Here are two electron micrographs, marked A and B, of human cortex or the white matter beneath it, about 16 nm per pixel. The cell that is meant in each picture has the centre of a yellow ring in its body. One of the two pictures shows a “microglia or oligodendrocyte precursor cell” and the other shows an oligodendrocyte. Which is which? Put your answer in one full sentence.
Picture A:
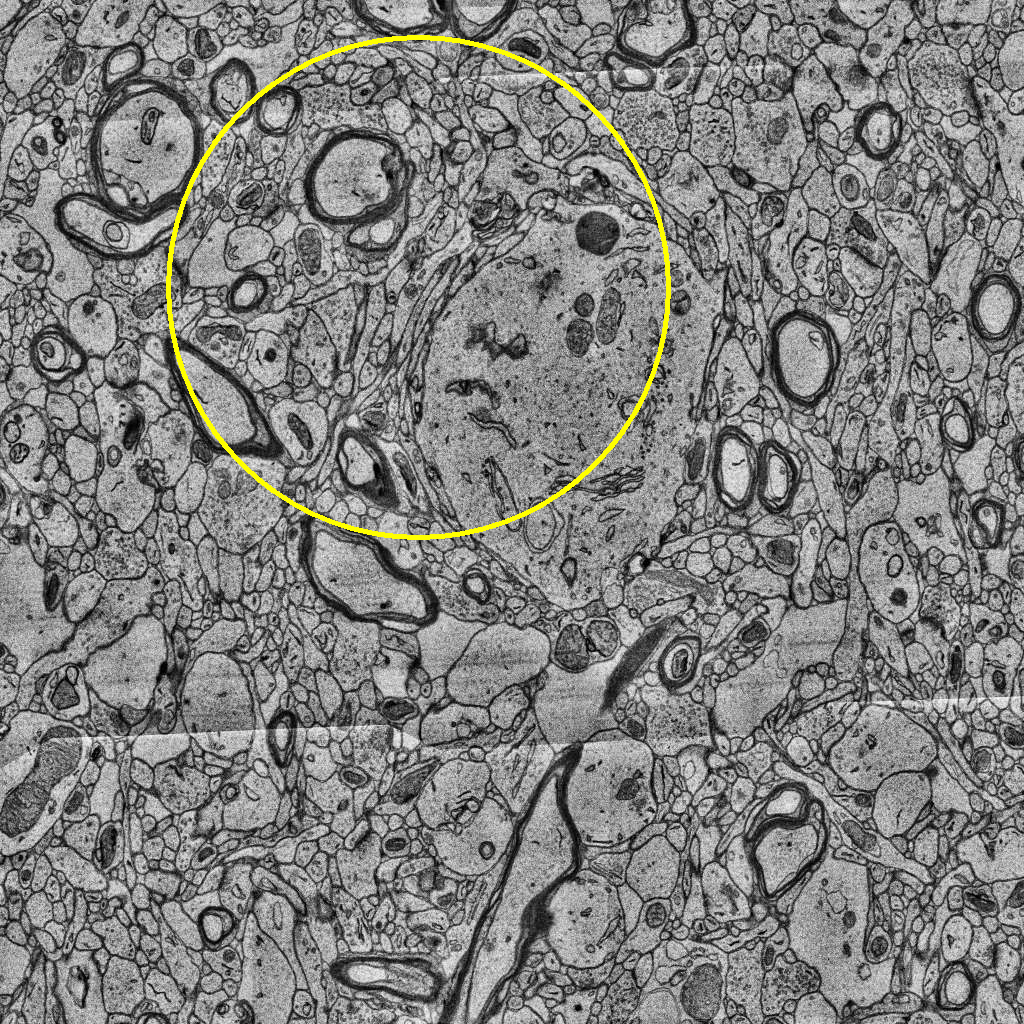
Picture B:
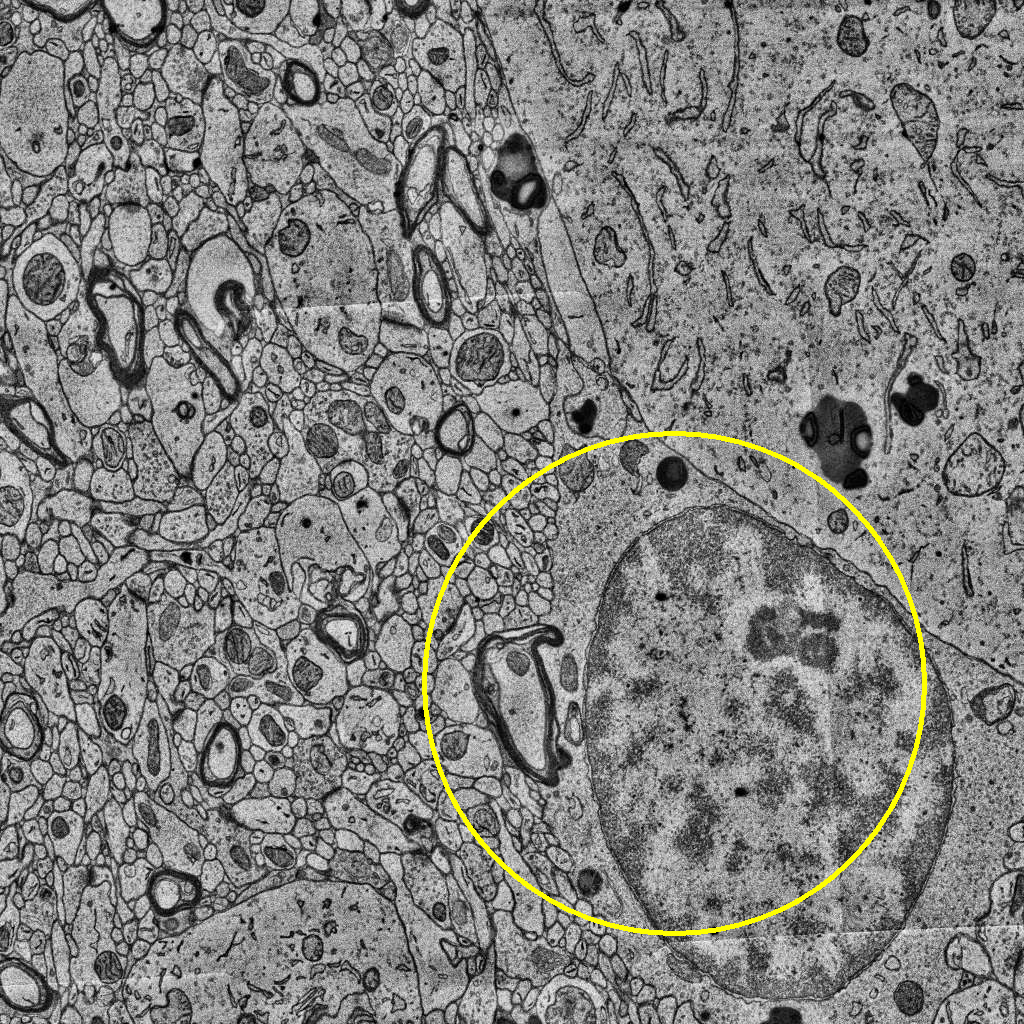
In picture A the cell is a “microglia or oligodendrocyte precursor cell”; in picture B, an oligodendrocyte.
